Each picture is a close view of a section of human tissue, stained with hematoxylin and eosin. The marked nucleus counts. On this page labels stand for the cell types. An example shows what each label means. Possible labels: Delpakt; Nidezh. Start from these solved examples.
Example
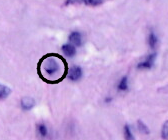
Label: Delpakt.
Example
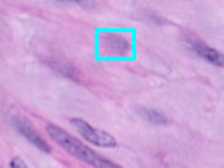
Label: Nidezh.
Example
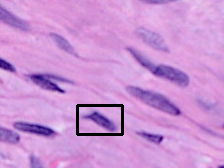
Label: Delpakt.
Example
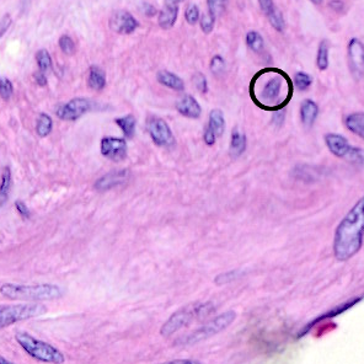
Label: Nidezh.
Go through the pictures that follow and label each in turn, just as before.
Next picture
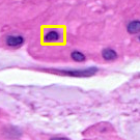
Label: Nidezh.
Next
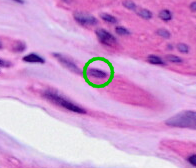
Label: Nidezh.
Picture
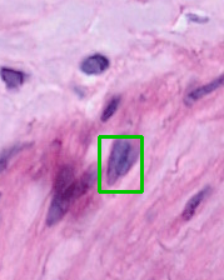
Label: Nidezh.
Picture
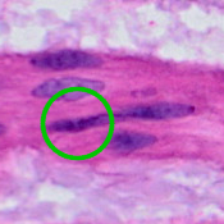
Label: Nidezh.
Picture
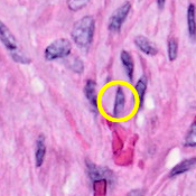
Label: Delpakt.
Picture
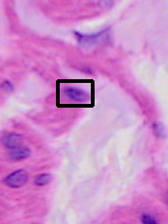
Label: Nidezh.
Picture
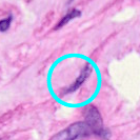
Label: Delpakt.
